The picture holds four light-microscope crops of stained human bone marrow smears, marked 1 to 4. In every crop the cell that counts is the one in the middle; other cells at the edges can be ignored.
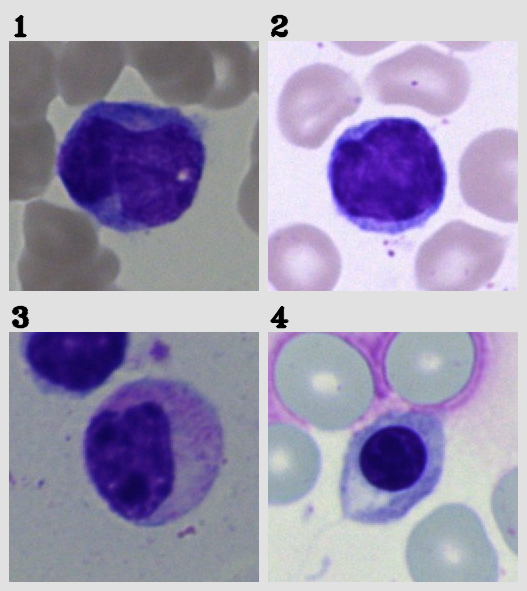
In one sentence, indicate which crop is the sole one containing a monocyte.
The crop marked 1 is the one in which a monocyte is shown.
